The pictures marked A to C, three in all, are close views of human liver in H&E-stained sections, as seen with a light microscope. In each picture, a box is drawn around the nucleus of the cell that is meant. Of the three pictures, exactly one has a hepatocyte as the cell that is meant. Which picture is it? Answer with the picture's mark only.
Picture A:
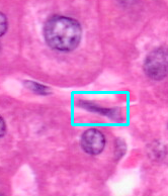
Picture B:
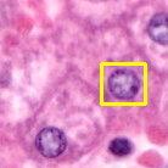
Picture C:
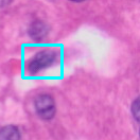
B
